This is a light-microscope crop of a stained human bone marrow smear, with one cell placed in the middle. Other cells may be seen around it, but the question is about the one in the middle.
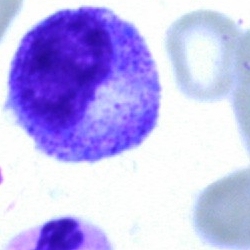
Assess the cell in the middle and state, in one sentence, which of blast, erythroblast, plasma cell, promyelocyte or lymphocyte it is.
Located at the centre of the crop is a promyelocyte.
